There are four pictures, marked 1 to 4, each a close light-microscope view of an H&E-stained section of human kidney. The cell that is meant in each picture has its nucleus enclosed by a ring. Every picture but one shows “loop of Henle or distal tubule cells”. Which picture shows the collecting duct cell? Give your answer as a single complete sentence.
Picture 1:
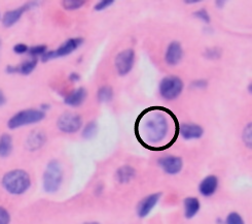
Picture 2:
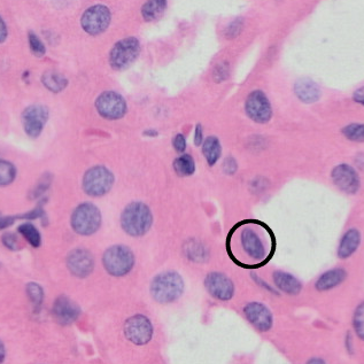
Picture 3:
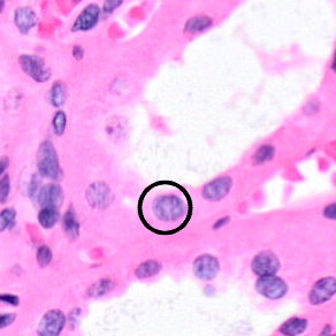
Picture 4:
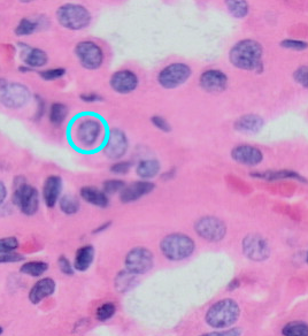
Picture 4 shows the collecting duct cell.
